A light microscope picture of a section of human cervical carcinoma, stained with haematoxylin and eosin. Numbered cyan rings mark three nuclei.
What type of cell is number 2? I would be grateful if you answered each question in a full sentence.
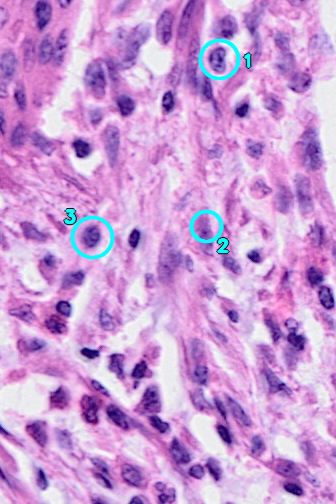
In this section, the cell numbered 2 is a fibroblast.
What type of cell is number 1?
The marked cell with the number 1 is recognised as a lymphocyte.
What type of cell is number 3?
In this section, the cell tagged 3 is a lymphocyte.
